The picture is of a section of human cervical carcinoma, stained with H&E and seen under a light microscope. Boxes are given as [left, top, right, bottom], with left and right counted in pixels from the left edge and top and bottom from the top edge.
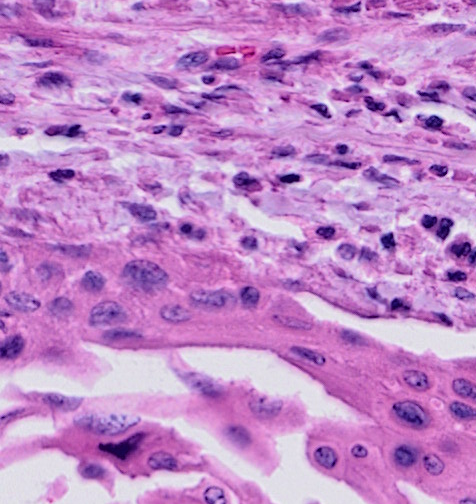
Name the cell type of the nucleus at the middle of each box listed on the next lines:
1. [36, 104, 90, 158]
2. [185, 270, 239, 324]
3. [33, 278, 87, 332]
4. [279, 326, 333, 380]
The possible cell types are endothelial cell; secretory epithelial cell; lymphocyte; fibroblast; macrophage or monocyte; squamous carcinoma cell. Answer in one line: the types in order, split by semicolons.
fibroblast; squamous carcinoma cell; squamous carcinoma cell; squamous carcinoma cell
